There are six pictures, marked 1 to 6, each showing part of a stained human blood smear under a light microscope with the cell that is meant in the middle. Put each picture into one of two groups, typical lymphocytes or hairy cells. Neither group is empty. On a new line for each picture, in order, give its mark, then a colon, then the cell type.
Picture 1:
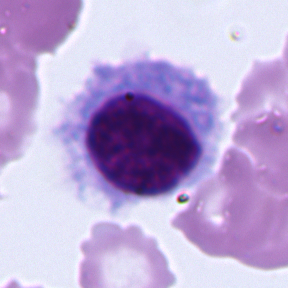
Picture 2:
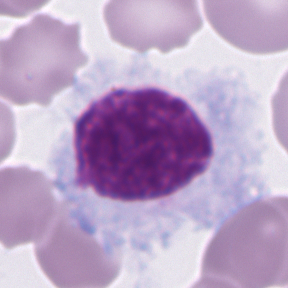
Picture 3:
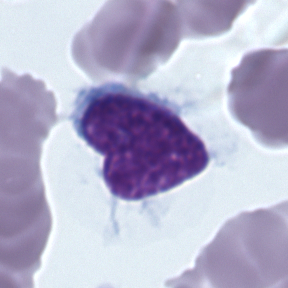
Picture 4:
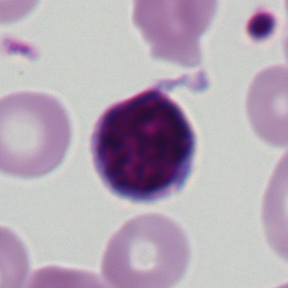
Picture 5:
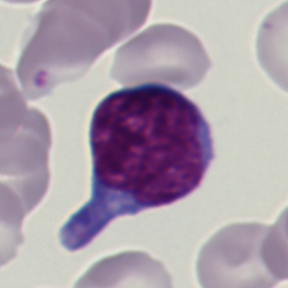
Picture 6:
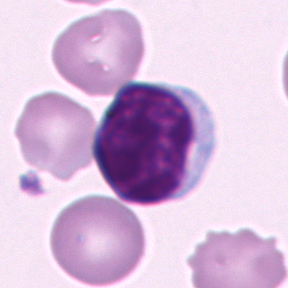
1: hairy cell
2: hairy cell
3: hairy cell
4: typical lymphocyte
5: typical lymphocyte
6: typical lymphocyte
